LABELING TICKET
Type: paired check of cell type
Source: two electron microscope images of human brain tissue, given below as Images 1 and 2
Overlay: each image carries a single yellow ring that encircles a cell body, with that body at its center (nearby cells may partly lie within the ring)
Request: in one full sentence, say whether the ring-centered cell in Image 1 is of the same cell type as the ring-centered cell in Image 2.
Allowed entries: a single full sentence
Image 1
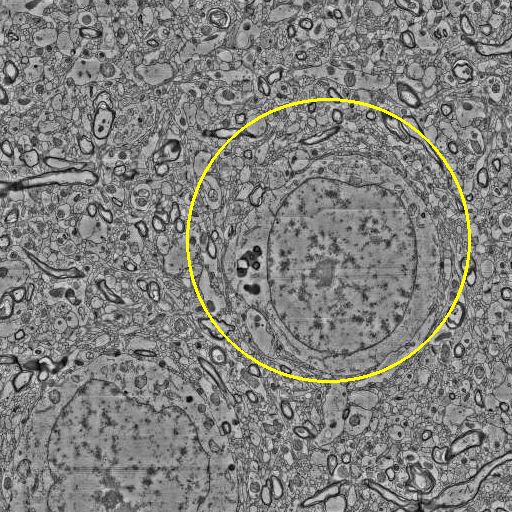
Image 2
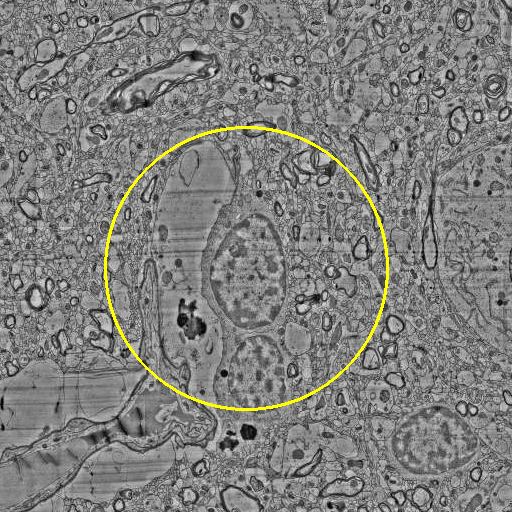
No, the cells centered in the rings of Image 1 and Image 2 are of two types.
